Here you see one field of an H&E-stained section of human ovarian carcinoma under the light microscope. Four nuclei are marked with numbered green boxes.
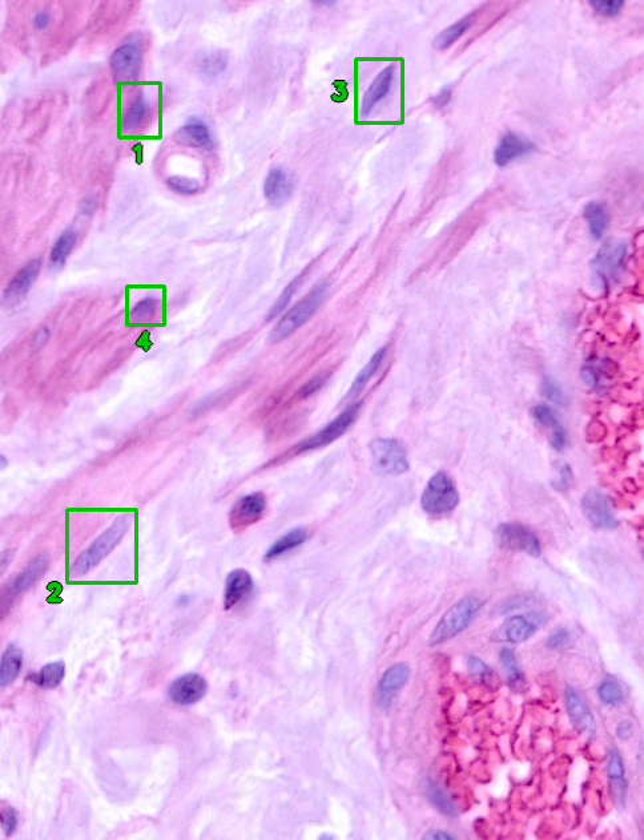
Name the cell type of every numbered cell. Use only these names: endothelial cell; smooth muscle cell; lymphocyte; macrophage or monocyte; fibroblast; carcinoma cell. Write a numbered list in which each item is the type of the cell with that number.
1. smooth muscle cell
2. smooth muscle cell
3. fibroblast
4. smooth muscle cell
